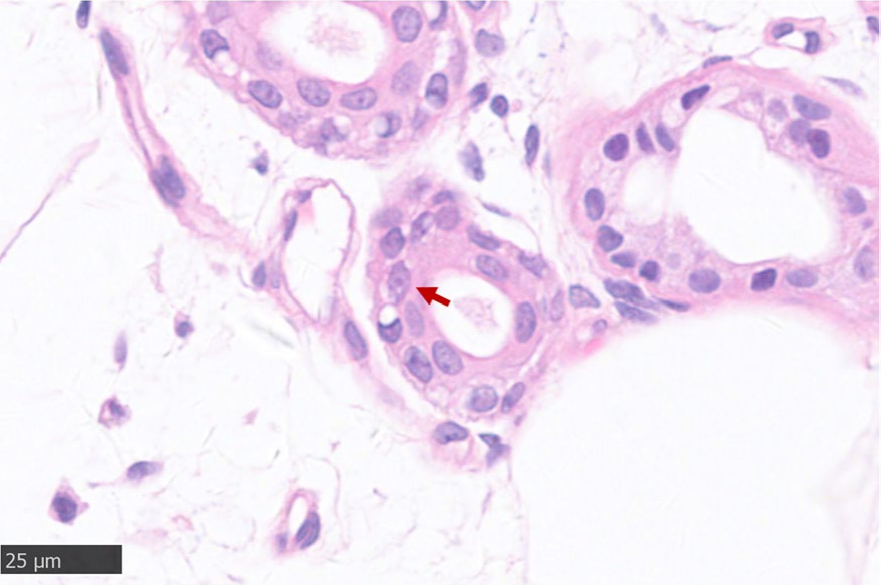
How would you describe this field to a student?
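Skin tissue with several small round ducts lying in loose, pale connective tissue. Each duct is lined by about two layers of cuboidal cells with oval purple nuclei and pink cytoplasm around an open lumen. In the central duct one nucleus holds a small, round, glassy pink body. Scattered spindle-shaped and small cells and thin-walled vessels lie in the surrounding stroma.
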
